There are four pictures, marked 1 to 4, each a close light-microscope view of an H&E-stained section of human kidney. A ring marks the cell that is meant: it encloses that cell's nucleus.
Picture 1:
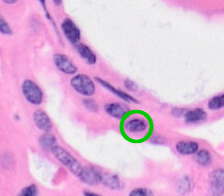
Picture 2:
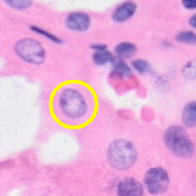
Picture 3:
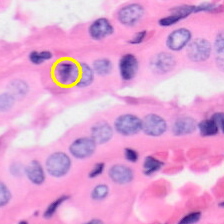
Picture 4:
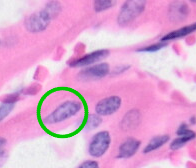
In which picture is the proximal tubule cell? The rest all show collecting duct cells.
2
